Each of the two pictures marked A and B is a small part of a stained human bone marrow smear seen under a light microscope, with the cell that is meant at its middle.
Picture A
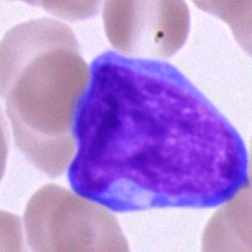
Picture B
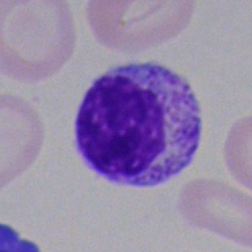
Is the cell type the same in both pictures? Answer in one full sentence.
No. Picture A shows a blast, but picture B shows a myelocyte.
